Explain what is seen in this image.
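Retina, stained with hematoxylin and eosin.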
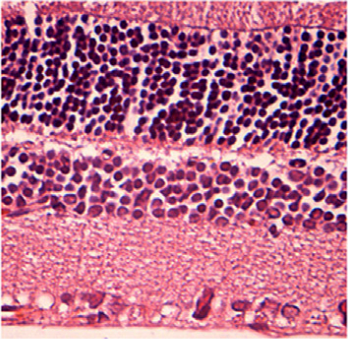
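At the top a thick band of tightly packed, small, round, dark purple nuclei forms the outer nuclear layer, and below a thin pale pink band lies a narrower band of round purple nuclei, the inner nuclear layer. Beneath a broad pink, finely fibrous layer sits a single sparse row of larger cells with paler nuclei, the ganglion cell layer.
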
